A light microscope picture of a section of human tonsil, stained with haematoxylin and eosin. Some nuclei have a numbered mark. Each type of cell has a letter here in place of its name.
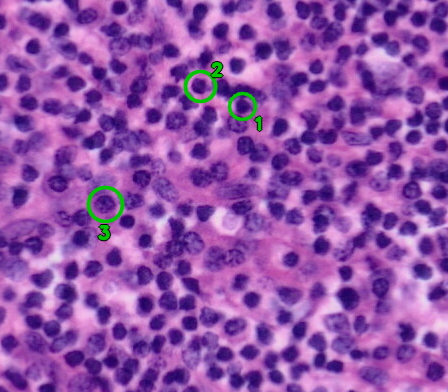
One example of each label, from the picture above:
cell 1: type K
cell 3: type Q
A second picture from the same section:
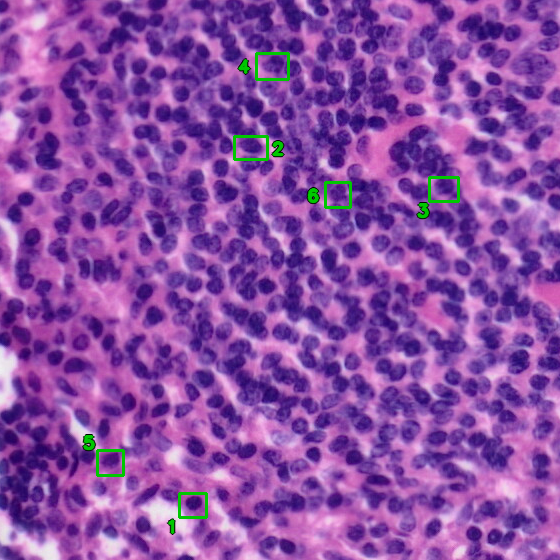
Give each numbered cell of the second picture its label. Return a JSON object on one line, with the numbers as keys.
{"1": "type Q", "2": "type K", "3": "type K", "4": "type K", "5": "type Q", "6": "type K"}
